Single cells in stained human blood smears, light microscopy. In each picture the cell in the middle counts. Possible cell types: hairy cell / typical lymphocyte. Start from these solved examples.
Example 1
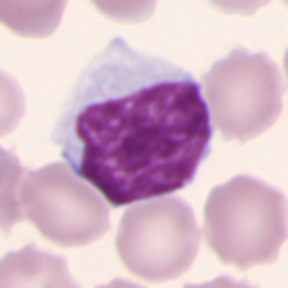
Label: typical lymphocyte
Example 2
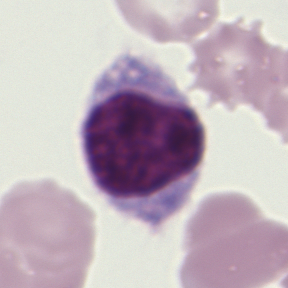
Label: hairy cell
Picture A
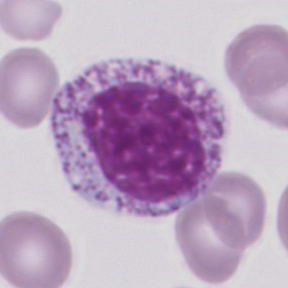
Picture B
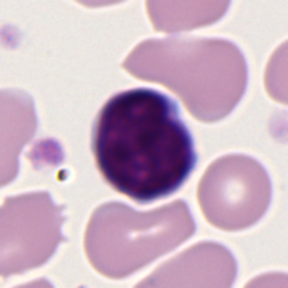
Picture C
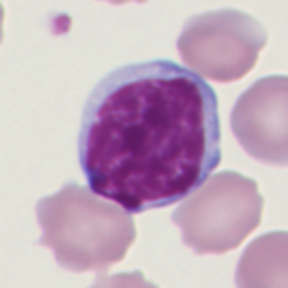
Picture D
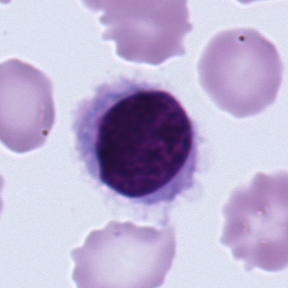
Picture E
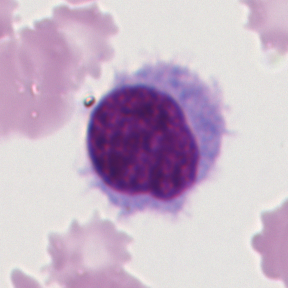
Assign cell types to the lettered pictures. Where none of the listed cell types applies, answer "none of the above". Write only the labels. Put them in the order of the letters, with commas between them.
none of the above, typical lymphocyte, typical lymphocyte, hairy cell, hairy cell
